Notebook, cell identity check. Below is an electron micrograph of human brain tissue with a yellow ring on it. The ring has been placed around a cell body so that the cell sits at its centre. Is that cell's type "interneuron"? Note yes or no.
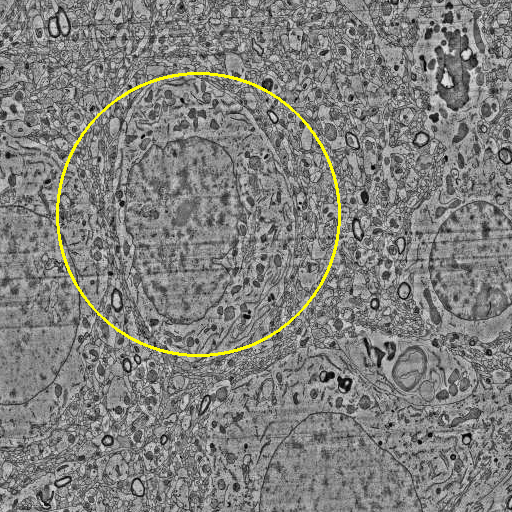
Yes, that is its cell type.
